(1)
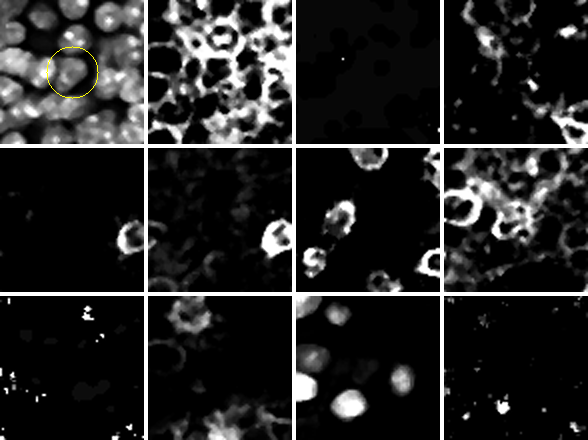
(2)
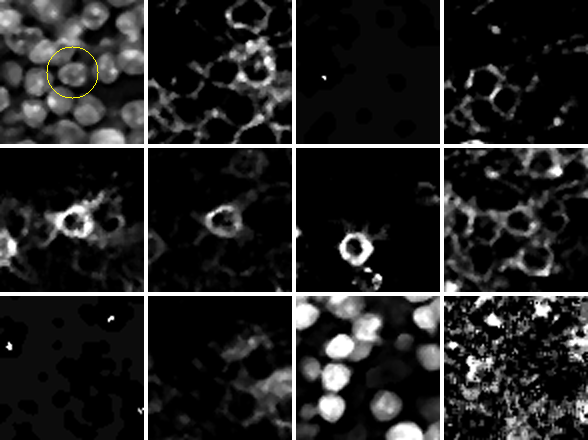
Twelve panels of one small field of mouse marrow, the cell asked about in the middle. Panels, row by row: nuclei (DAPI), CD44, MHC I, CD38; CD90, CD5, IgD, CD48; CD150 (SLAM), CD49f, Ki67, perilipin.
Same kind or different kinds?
Different: the first is a monocyte, the second a T cell.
